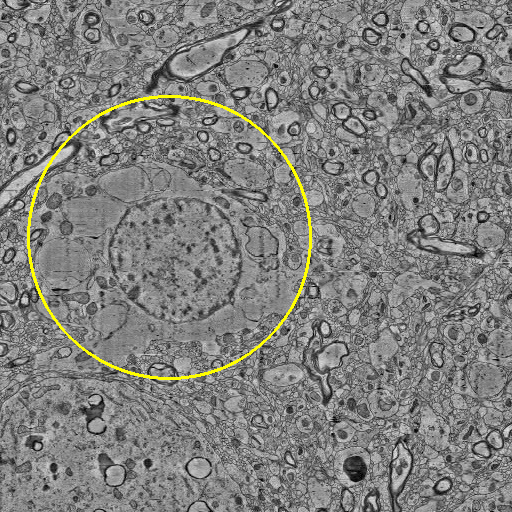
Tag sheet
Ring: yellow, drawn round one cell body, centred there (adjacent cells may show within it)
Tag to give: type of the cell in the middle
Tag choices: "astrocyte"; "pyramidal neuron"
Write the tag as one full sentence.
I tag the cell centred in the yellow ring as an astrocyte in this picture.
